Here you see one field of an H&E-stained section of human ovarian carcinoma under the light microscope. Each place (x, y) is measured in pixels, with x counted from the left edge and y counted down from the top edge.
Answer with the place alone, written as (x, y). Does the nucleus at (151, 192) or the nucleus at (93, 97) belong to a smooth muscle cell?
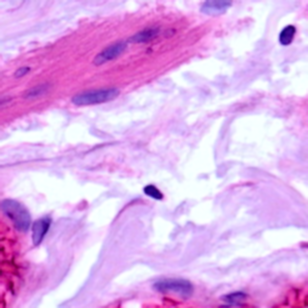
(93, 97)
